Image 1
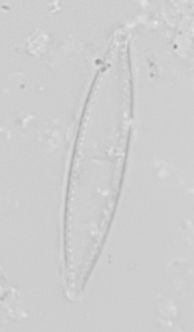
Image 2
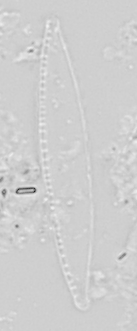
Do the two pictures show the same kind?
Yes, both are Nitzschia.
